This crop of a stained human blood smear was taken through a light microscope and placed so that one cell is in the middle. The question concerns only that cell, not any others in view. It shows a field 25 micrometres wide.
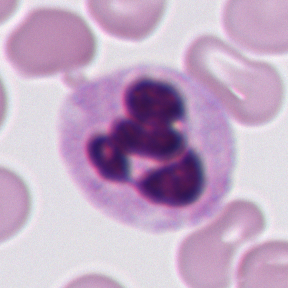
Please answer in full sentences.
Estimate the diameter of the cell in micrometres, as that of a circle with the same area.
The diameter of the cell comes to about 15 micrometres.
